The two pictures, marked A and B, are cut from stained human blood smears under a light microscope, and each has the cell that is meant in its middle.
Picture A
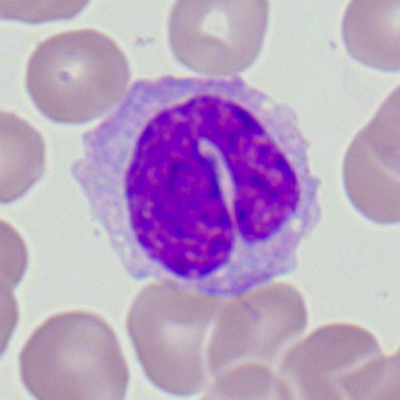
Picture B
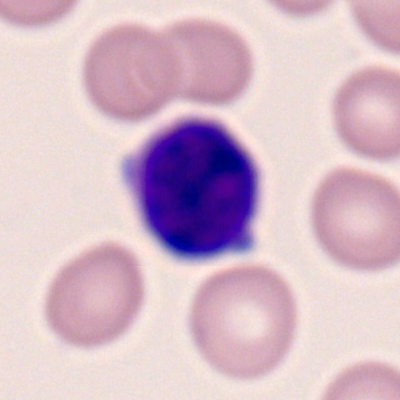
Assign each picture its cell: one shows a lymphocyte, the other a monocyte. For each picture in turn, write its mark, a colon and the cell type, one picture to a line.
A: monocyte
B: lymphocyte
